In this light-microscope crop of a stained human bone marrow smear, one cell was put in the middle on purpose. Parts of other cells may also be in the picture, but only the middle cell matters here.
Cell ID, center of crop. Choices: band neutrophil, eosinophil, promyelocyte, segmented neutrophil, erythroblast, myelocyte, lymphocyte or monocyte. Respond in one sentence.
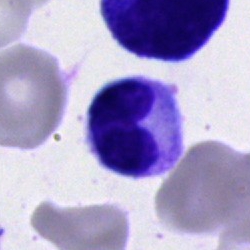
The cell marked by its central position in the crop is a band neutrophil.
